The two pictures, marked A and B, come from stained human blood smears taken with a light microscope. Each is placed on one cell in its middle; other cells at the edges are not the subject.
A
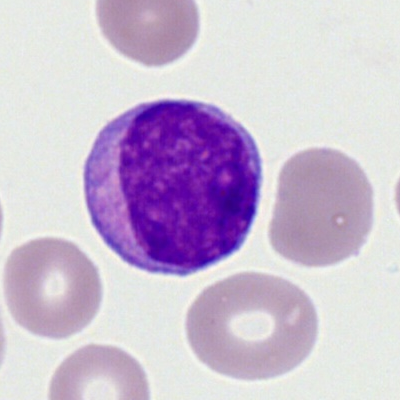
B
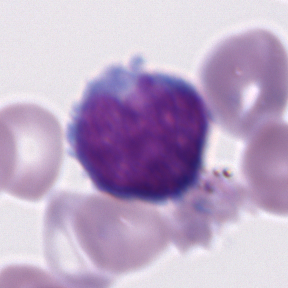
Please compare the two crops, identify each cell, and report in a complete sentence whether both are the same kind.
Yes, in the middle of both crops, blasts are shown.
